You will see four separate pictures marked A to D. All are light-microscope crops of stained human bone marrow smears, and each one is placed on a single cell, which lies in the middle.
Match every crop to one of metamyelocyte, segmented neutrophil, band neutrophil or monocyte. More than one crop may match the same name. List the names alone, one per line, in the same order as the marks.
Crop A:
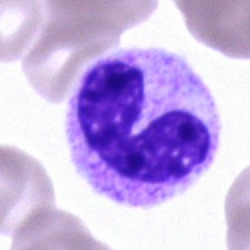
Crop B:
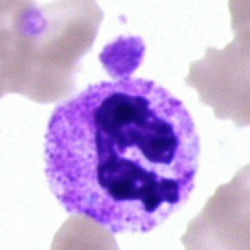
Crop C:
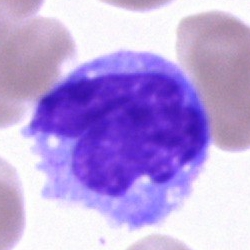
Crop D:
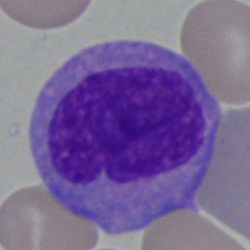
band neutrophil
segmented neutrophil
monocyte
monocyte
